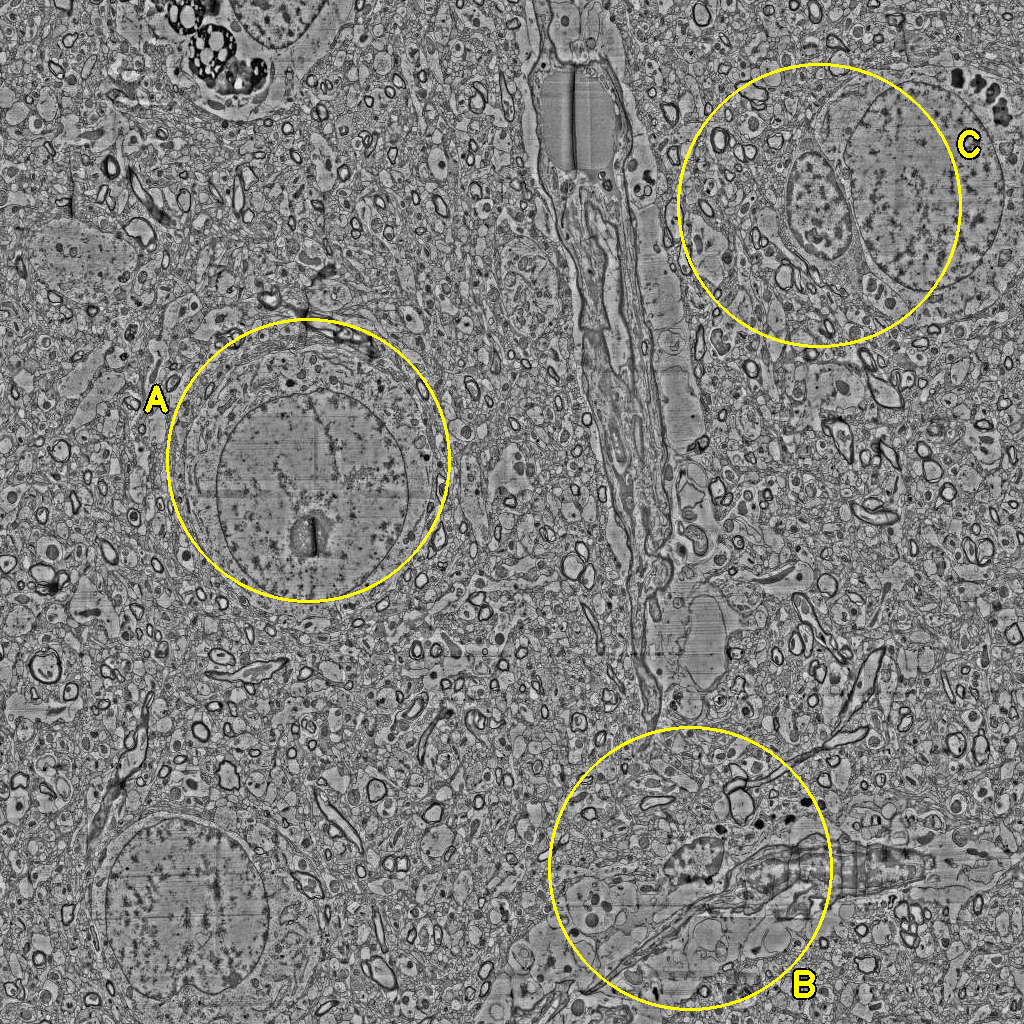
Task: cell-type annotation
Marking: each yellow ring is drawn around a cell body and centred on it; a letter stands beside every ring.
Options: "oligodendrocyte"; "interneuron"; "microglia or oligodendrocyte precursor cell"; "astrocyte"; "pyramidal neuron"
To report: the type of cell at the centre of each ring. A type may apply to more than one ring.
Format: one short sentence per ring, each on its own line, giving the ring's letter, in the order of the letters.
Ring A is centred on a pyramidal neuron.
Ring B is centred on a microglial cell or oligodendrocyte precursor cell.
Ring C is centred on an oligodendrocyte.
